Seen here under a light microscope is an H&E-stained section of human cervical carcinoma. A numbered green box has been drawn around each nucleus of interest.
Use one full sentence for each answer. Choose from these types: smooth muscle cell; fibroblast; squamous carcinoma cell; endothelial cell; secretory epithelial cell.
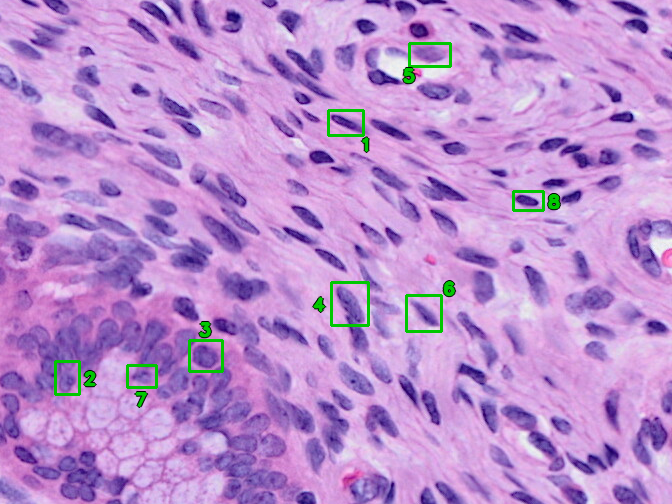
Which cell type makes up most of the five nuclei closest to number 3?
Of the five nuclei nearest to number 3, most belong to secretory epithelial cells.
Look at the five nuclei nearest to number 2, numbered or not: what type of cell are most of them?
Secretory epithelial cells account for more than half of the five nuclei nearest to number 2.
